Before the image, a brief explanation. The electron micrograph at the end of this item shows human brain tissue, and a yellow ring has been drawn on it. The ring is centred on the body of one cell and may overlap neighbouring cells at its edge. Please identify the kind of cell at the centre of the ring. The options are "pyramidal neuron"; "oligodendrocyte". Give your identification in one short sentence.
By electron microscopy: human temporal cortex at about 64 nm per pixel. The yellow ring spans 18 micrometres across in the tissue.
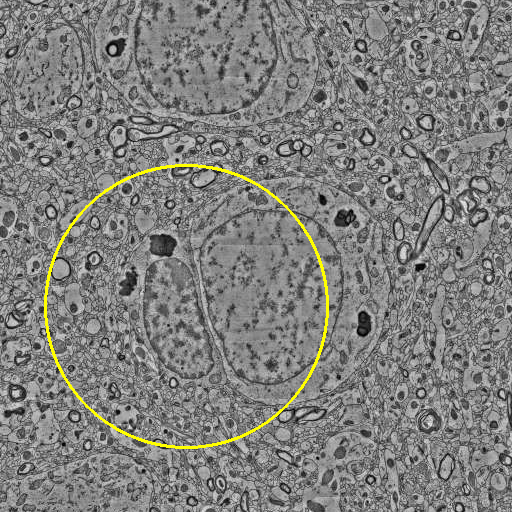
The ring has been placed around an oligodendrocyte.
